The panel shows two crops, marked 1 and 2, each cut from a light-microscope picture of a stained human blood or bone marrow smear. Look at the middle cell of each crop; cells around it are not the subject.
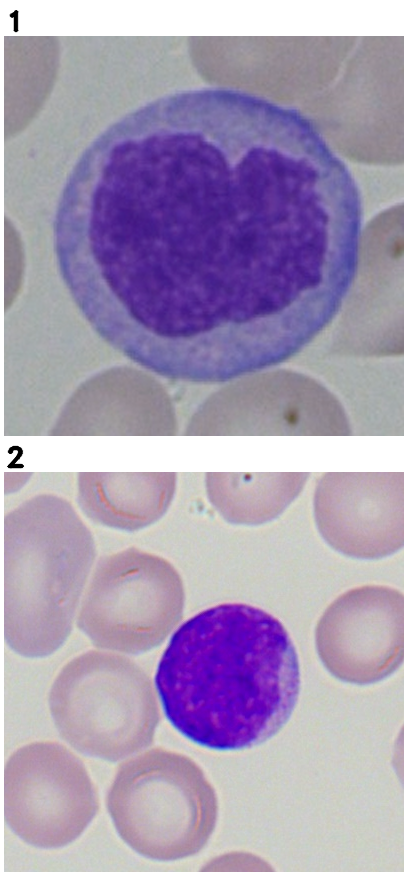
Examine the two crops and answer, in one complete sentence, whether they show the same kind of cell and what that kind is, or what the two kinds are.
No, crop 1 presents a monocyte, whereas crop 2 presents a blast.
